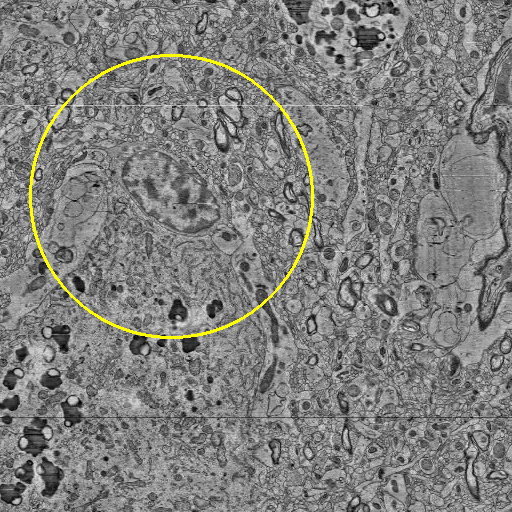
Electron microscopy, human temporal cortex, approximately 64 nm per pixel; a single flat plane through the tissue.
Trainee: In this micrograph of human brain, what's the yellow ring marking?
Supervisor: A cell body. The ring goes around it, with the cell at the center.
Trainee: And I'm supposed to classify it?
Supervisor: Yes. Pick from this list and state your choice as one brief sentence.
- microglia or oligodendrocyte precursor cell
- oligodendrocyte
The cell at the ring's center is an oligodendrocyte.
